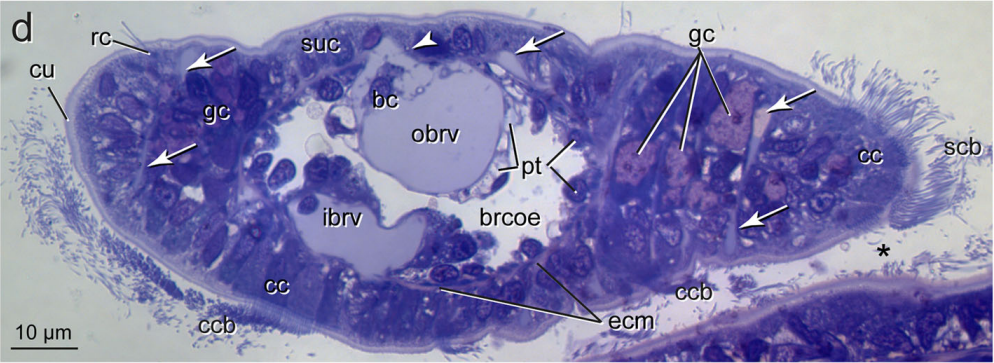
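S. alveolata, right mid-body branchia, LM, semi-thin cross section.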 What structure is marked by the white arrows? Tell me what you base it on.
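The arrows point to narrow, pale, cell-free channels running between the epidermal cells. The answer: transverse blood vessels.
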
